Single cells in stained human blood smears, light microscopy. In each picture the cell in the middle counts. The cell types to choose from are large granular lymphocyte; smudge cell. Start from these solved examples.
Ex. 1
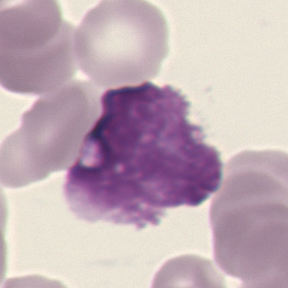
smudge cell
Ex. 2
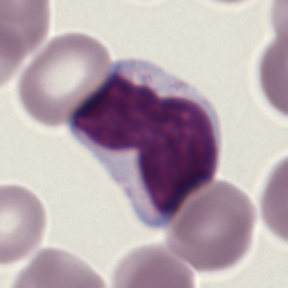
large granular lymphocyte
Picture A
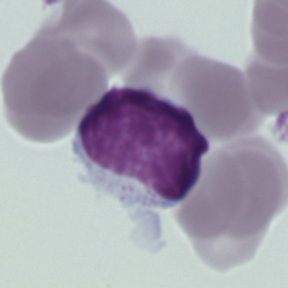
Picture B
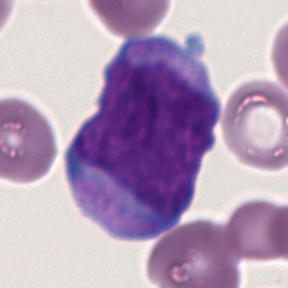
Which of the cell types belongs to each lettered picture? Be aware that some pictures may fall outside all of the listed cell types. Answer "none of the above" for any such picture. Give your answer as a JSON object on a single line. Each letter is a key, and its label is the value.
{"A": "large granular lymphocyte", "B": "none of the above"}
